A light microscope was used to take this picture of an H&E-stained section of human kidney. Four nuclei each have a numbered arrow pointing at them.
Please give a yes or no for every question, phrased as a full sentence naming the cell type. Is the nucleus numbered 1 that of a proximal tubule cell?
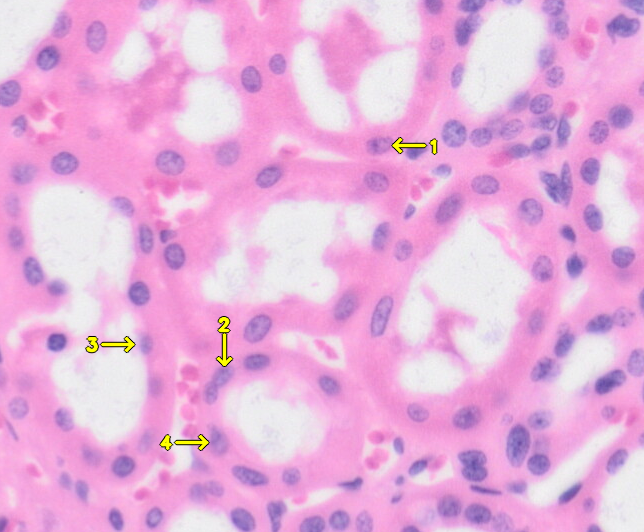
Yes, number 1 marks a cell that is a proximal tubule cell.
